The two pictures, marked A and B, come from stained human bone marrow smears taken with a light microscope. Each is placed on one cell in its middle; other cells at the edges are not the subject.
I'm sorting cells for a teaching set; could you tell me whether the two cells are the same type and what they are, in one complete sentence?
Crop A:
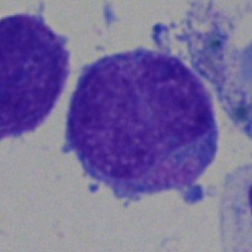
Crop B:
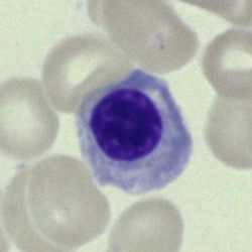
No, it is in crop A that a blast is shown, and in crop B that a normoblast is shown.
